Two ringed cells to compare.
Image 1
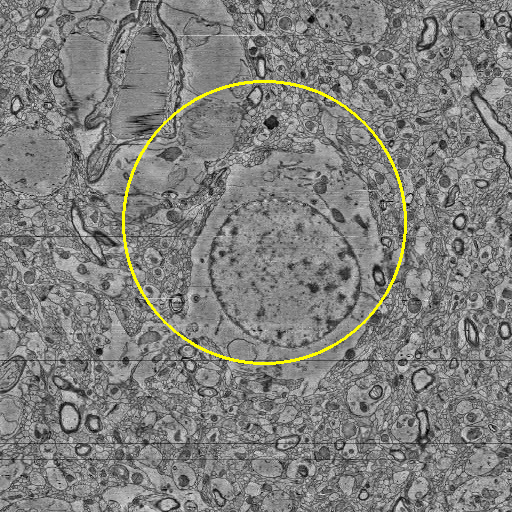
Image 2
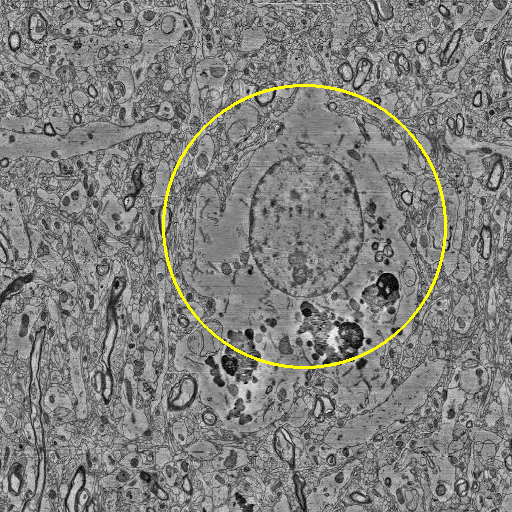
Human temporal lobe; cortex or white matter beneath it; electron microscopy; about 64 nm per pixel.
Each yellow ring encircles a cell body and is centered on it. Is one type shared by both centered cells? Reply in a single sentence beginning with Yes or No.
Yes, a single type is shared by the two cells at the centers of the rings.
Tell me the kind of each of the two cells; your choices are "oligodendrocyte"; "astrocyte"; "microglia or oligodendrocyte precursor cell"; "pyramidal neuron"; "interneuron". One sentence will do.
Each cell at the centre of a ring is an astrocyte.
